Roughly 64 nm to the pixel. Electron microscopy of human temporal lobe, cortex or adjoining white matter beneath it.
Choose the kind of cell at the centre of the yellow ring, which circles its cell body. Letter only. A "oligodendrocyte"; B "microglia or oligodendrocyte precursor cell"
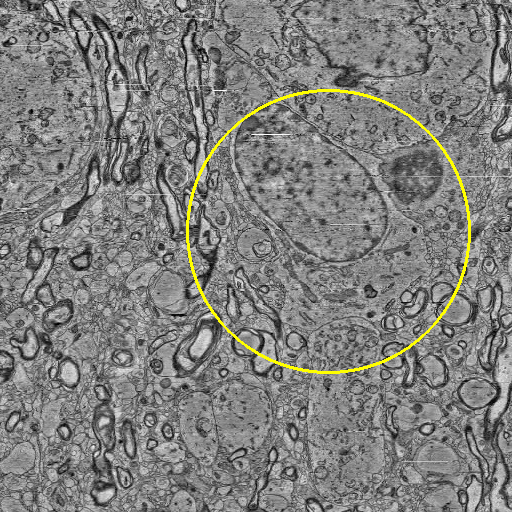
B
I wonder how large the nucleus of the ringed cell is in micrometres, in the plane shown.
The ringed cell's nucleus is roughly 11 by 7 micrometres and clearly longer than it is wide in this plane.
